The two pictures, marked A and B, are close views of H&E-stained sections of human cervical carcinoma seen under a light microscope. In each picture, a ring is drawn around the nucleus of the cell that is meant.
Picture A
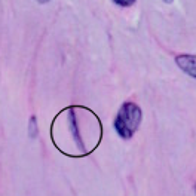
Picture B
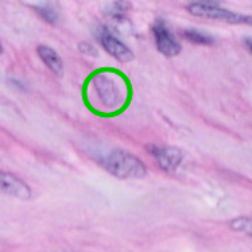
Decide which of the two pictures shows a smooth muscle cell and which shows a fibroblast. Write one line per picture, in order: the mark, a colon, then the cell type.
A: fibroblast
B: smooth muscle cell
